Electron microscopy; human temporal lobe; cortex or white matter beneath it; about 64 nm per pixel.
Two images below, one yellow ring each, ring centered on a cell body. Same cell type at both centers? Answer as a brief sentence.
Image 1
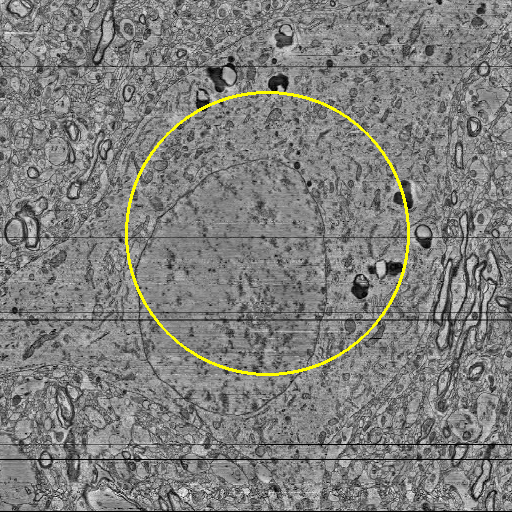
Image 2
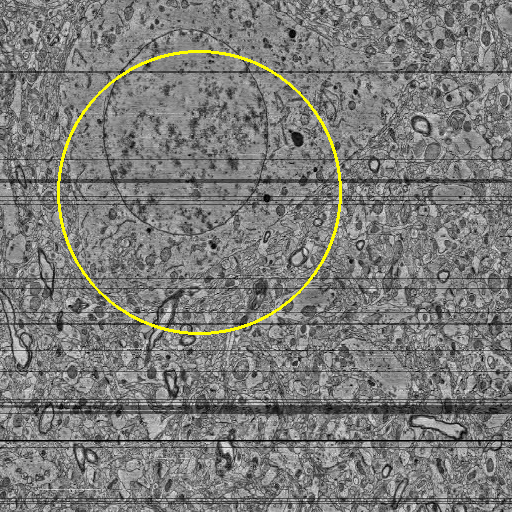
Yes, both cells are of the same type.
